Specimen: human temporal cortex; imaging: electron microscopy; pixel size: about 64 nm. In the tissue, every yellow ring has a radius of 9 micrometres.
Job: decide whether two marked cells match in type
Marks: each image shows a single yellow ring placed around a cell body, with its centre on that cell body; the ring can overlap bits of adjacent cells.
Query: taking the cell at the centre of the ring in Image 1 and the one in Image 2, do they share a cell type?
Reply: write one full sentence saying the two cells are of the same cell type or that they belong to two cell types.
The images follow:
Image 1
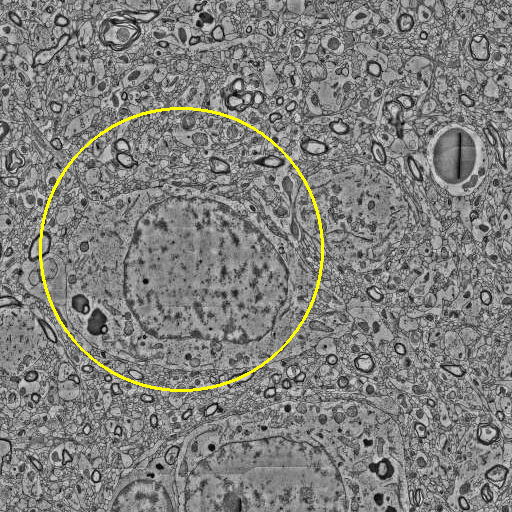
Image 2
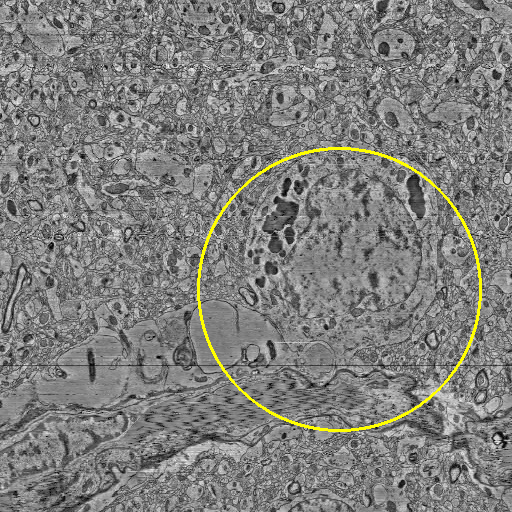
The cells at the ring centres in Image 1 and Image 2 are of the same cell type.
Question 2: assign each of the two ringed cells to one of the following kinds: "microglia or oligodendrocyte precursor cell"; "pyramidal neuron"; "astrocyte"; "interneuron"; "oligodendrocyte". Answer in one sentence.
In the first picture and in the second, the ring is centred on an interneuron.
